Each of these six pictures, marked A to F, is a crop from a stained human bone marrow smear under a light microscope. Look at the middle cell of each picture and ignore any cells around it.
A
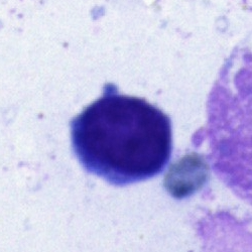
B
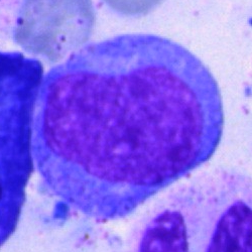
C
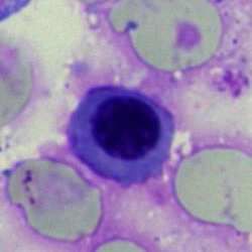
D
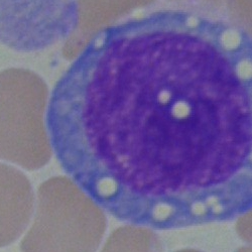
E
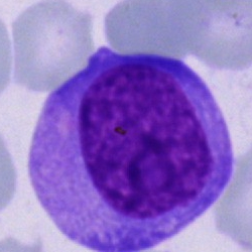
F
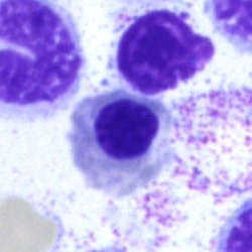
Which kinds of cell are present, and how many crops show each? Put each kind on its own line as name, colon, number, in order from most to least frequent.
blast: 3
erythroblast: 2
lymphocyte: 1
